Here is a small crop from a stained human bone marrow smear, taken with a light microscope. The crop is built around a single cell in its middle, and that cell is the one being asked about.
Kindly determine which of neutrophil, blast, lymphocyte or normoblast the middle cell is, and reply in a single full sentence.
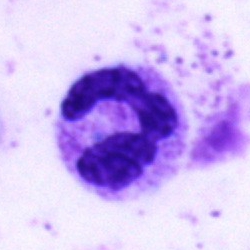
In the crop, the cell of interest at the centre is a neutrophil.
